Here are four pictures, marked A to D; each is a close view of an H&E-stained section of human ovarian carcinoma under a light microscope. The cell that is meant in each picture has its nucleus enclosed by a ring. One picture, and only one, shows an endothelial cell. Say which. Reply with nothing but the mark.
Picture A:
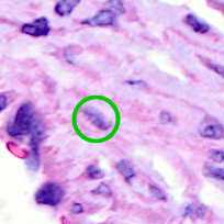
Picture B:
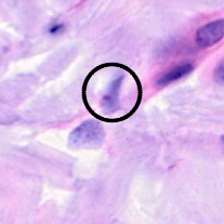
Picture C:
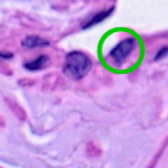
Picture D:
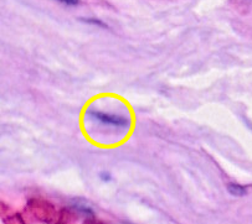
C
